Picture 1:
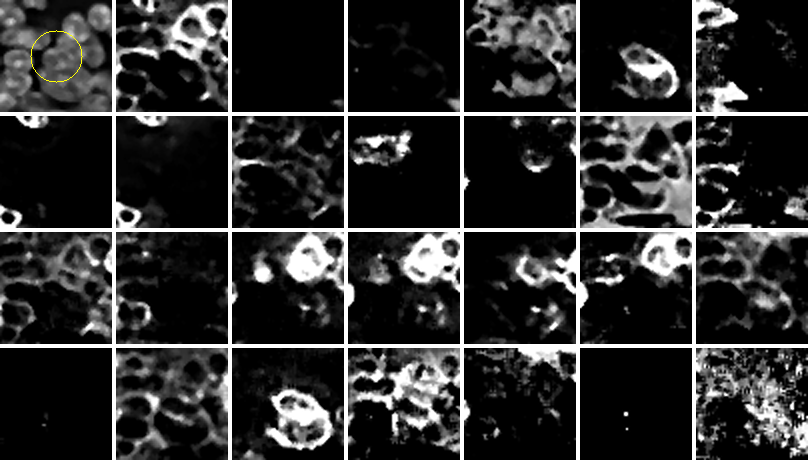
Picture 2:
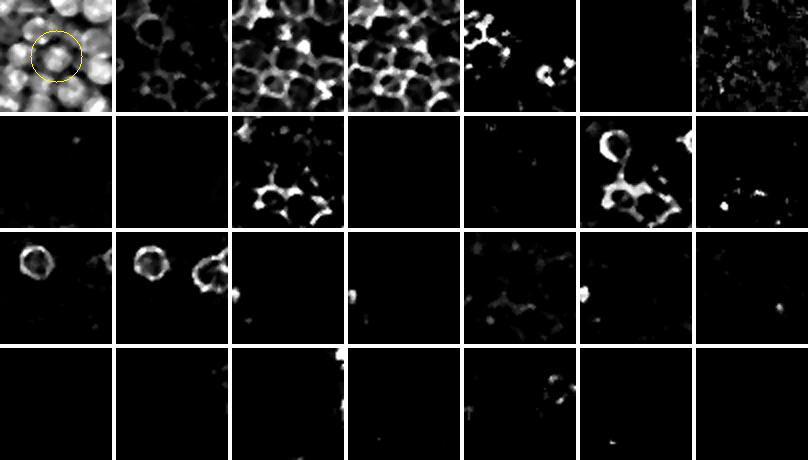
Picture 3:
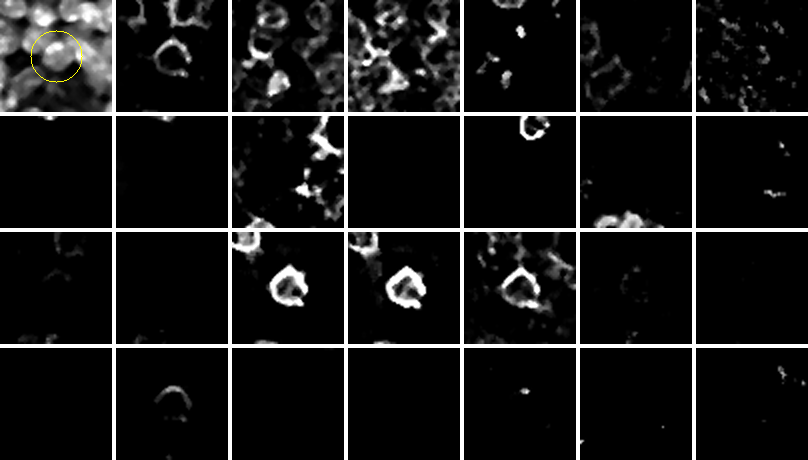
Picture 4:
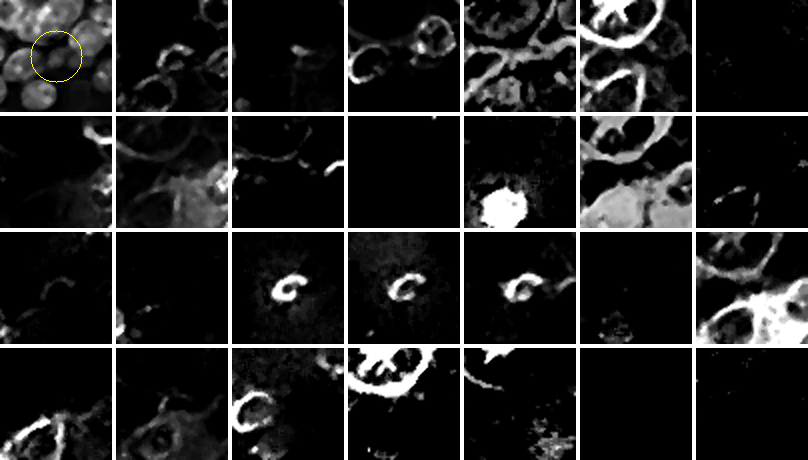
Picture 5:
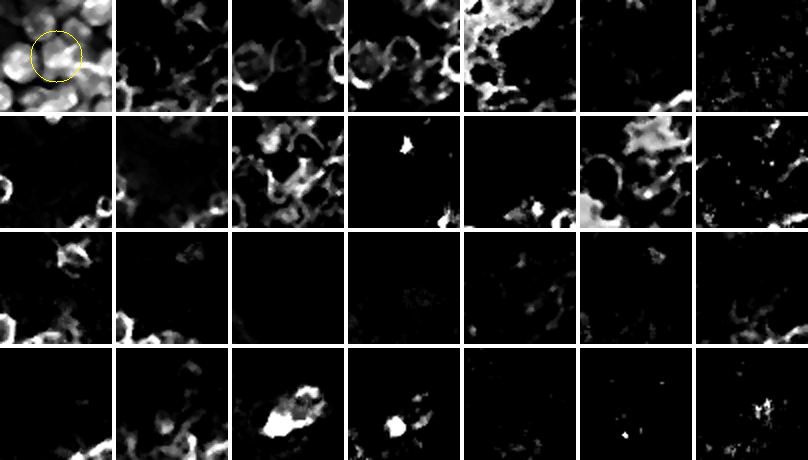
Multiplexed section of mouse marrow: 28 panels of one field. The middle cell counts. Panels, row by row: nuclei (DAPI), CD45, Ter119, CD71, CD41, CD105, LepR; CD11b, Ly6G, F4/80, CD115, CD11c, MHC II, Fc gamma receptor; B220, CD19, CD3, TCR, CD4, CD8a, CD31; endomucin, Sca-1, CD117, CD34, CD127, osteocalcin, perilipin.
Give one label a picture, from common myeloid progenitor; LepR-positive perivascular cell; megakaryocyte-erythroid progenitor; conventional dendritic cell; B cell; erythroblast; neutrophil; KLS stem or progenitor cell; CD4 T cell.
Picture 1: KLS stem or progenitor cell
Picture 2: erythroblast
Picture 3: CD4 T cell
Picture 4: CD4 T cell
Picture 5: common myeloid progenitor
